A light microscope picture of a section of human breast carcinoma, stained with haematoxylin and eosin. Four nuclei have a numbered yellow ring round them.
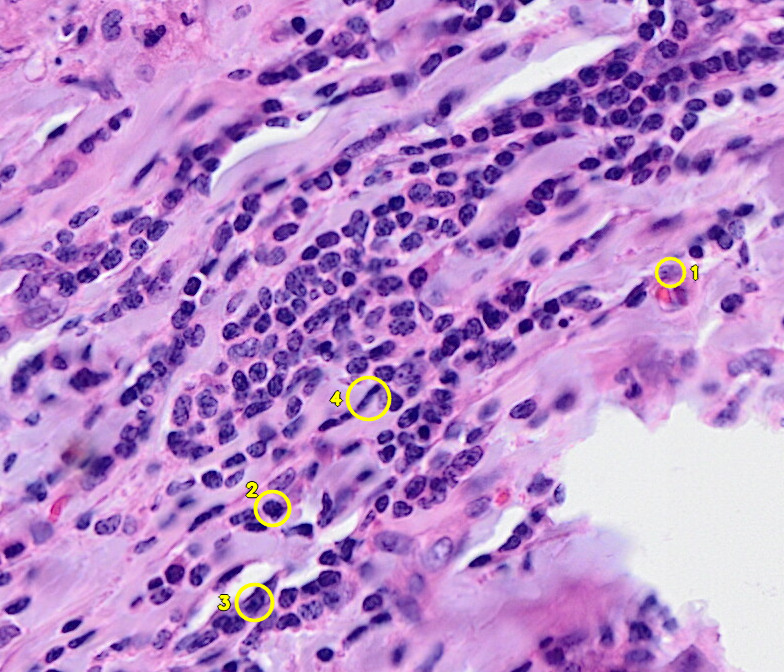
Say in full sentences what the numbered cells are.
Cell 1 is an endothelial cell, cell 2 is a lymphocyte, cell 3 is a lymphocyte and cell 4 is a lymphocyte.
